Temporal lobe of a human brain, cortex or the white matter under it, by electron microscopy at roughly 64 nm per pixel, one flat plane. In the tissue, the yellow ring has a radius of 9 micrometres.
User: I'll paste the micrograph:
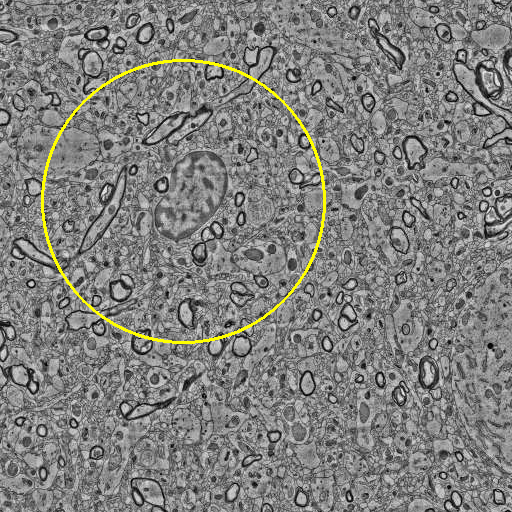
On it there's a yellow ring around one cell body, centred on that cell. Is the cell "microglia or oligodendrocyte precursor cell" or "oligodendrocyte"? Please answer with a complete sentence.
The cell ringed in yellow is a microglial cell or oligodendrocyte precursor cell.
